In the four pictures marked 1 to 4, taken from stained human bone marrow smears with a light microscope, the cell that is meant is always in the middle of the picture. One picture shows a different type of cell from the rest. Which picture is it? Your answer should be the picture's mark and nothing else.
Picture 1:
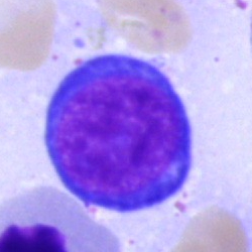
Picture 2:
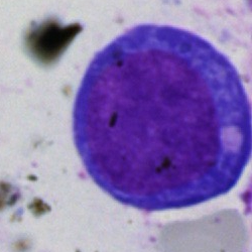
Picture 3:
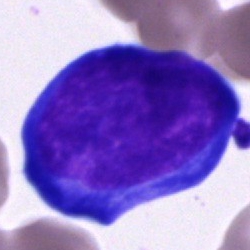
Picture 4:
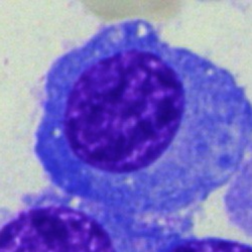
4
